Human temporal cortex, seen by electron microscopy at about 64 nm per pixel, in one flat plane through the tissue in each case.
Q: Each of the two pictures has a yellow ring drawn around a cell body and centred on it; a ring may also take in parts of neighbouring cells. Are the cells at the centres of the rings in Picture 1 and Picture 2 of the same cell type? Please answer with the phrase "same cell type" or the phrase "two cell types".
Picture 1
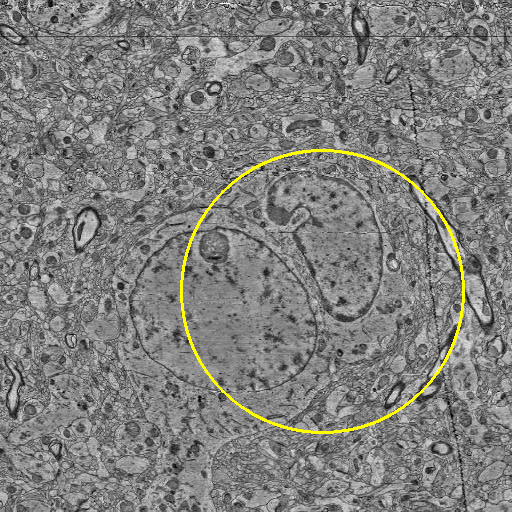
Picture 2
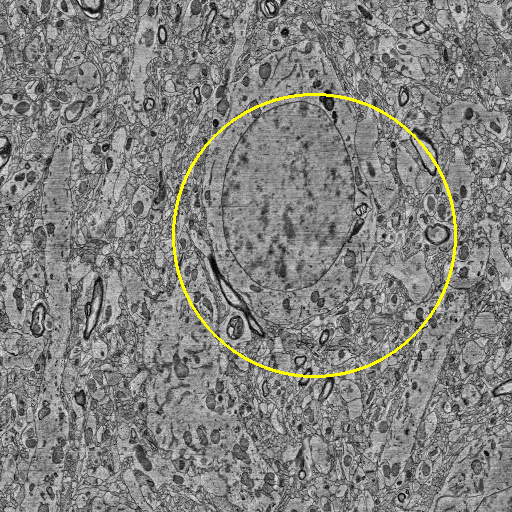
two cell types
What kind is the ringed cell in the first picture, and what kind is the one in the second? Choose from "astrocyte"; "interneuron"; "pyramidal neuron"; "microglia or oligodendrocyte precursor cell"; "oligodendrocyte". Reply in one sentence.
The first cell is a microglial cell or oligodendrocyte precursor cell; the second is a pyramidal neuron.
